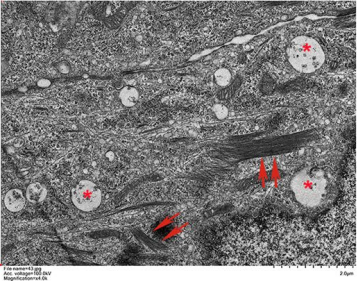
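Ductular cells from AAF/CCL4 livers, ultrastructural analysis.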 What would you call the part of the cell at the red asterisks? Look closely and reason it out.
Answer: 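Each asterisk sits in a round, pale, membrane-bound body in the cytoplasm. The round bodies contain sparse granular material. On this evidence: vesicles.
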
